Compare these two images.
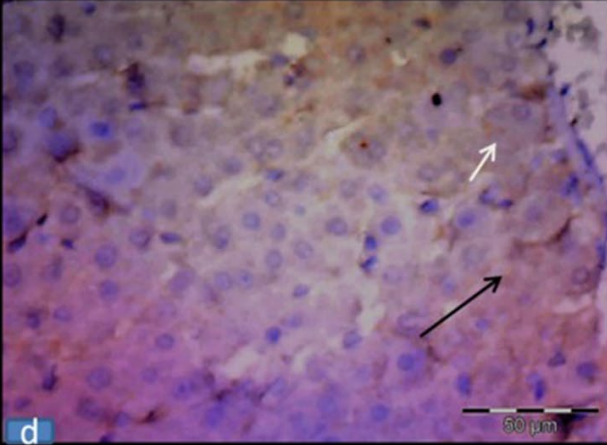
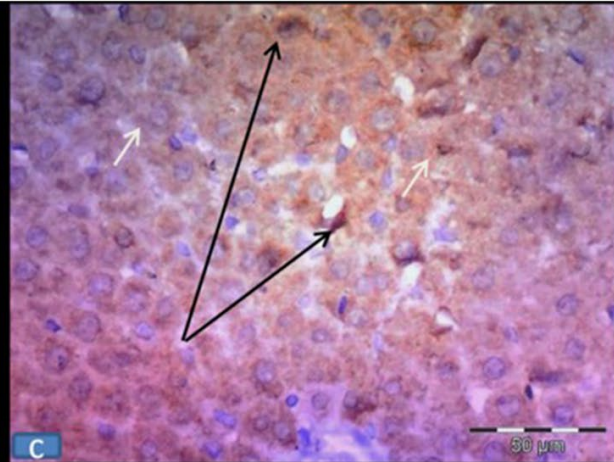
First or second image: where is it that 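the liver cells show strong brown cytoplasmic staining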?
the second image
